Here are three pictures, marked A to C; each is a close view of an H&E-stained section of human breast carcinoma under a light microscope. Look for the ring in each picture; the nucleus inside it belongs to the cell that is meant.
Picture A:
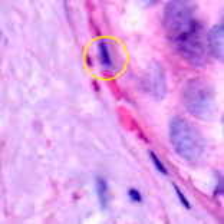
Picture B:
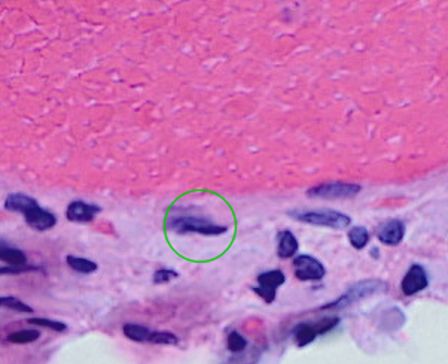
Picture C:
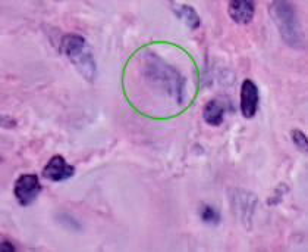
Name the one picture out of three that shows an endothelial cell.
A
